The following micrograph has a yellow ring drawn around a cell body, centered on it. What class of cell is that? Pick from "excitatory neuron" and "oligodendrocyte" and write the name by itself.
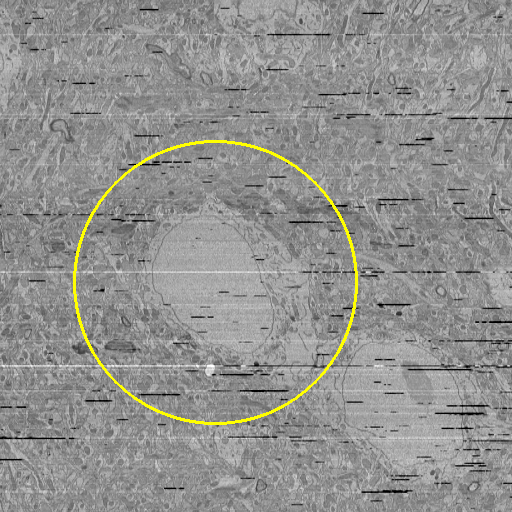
excitatory neuron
